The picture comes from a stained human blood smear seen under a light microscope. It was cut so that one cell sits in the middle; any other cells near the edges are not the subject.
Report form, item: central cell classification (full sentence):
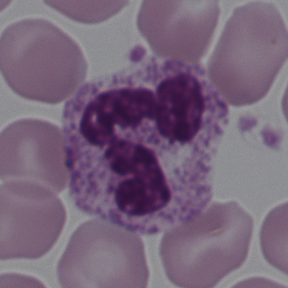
The cell at the middle of the frame should be recorded as a segmented neutrophil.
